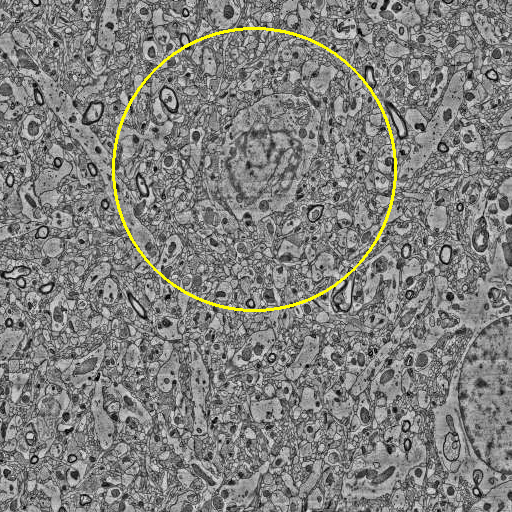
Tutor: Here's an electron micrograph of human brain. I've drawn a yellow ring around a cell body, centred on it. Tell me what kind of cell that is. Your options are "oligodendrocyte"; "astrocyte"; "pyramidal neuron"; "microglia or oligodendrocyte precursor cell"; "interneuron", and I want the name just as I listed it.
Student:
interneuron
